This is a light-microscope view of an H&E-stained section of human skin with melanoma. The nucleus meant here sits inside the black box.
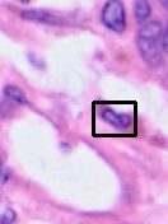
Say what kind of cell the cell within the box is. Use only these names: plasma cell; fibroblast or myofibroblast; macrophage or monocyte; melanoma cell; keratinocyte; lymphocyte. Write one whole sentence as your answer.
By its classification, the cell within the box is a macrophage or monocyte.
